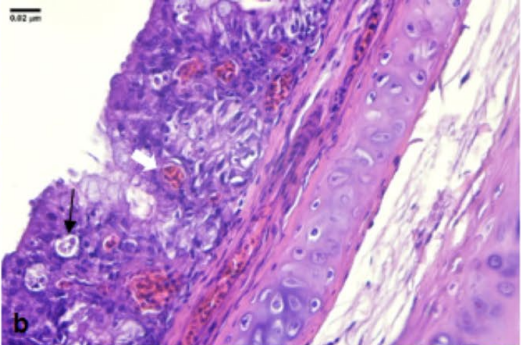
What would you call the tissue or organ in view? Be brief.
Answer: Trachea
